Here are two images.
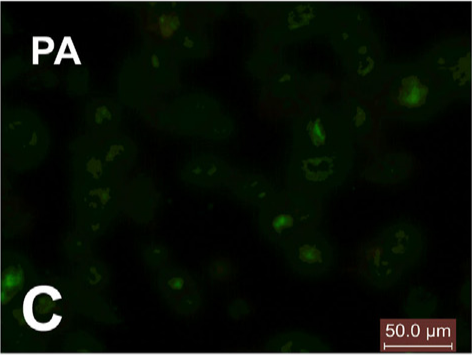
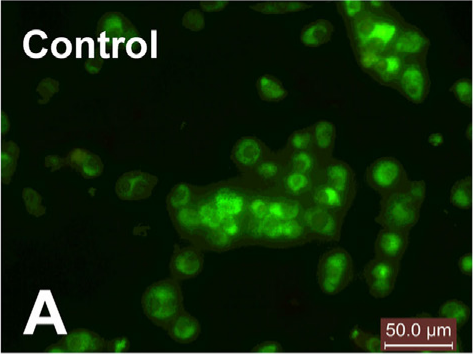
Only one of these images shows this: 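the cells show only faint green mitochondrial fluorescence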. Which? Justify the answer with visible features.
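The first image. First image: the cells are barely visible, with dim, sparse green signal against the dark background. Second image: the rounded cells are filled with bright green signal in their cytoplasm.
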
